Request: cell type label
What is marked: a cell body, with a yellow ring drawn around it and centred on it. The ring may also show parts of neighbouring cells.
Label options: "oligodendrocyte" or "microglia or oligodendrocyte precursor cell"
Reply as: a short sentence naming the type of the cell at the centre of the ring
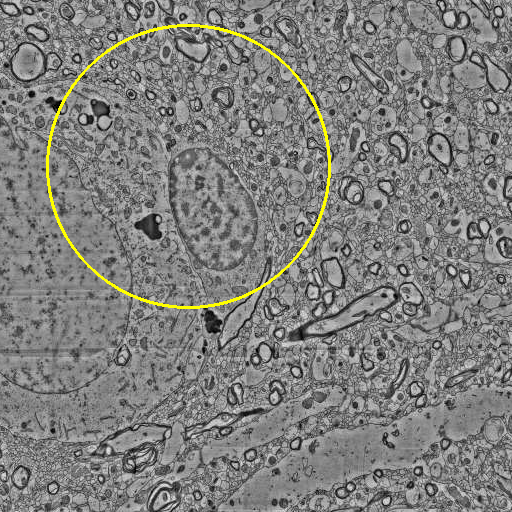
The marked cell body is that of an oligodendrocyte.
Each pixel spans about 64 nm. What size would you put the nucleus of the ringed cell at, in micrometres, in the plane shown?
The nucleus is approximately 10 micrometers long by 5 micrometers wide in this plane.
